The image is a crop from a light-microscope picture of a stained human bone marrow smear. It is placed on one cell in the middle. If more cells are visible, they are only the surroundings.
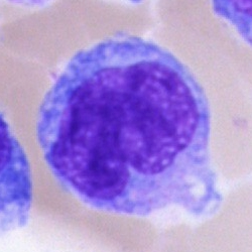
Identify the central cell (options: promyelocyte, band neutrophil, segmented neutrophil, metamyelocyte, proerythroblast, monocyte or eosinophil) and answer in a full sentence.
The cell shown in the center of this light-microscope crop is a monocyte.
